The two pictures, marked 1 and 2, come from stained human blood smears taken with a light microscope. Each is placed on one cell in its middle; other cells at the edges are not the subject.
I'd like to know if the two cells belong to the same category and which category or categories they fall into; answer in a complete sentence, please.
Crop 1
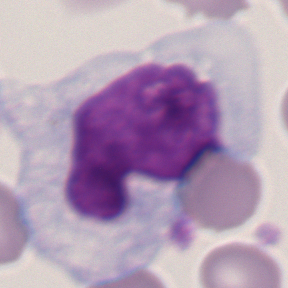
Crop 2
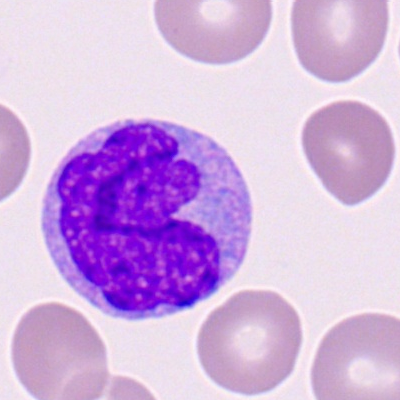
Yes, at the centre of both crops are monocytes.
